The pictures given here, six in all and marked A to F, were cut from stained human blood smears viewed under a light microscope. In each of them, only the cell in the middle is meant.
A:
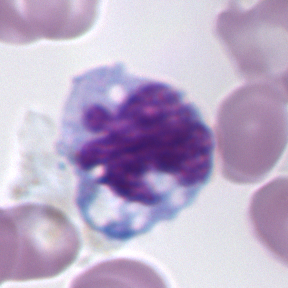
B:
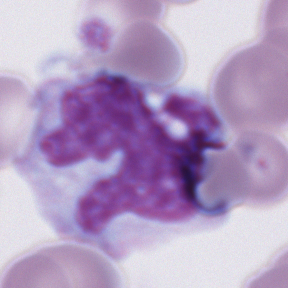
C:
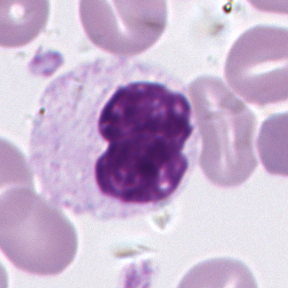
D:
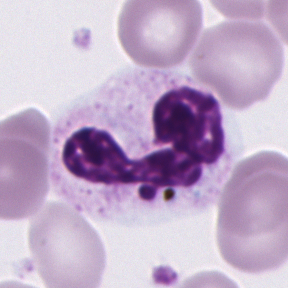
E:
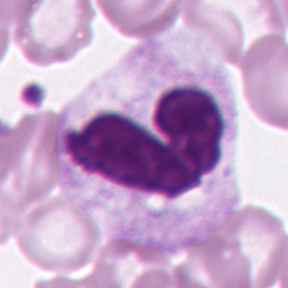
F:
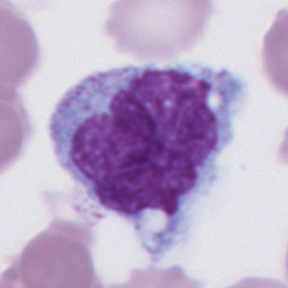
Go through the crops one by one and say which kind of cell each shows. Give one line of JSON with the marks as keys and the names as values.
{"A": "monocyte", "B": "monocyte", "C": "neutrophil", "D": "neutrophil", "E": "neutrophil", "F": "monocyte"}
